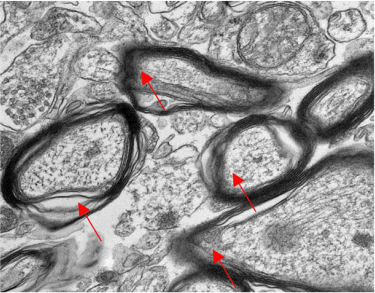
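This is white matter again, axons cut across or somewhat obliquely, but the sheaths around them look quite different from a tidy compact ring. The dark myelin wrapping each axon is irregular: its layers are loosened and split apart in places, so that separate thin lamellae can be seen fanning away from the sheath, and the outline of several fibres is oval or distorted. Red arrows point to these frayed, loosened parts of the sheaths. The axoplasm inside is pale and finely granular, and the spaces between fibres hold pale processes and membranes.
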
